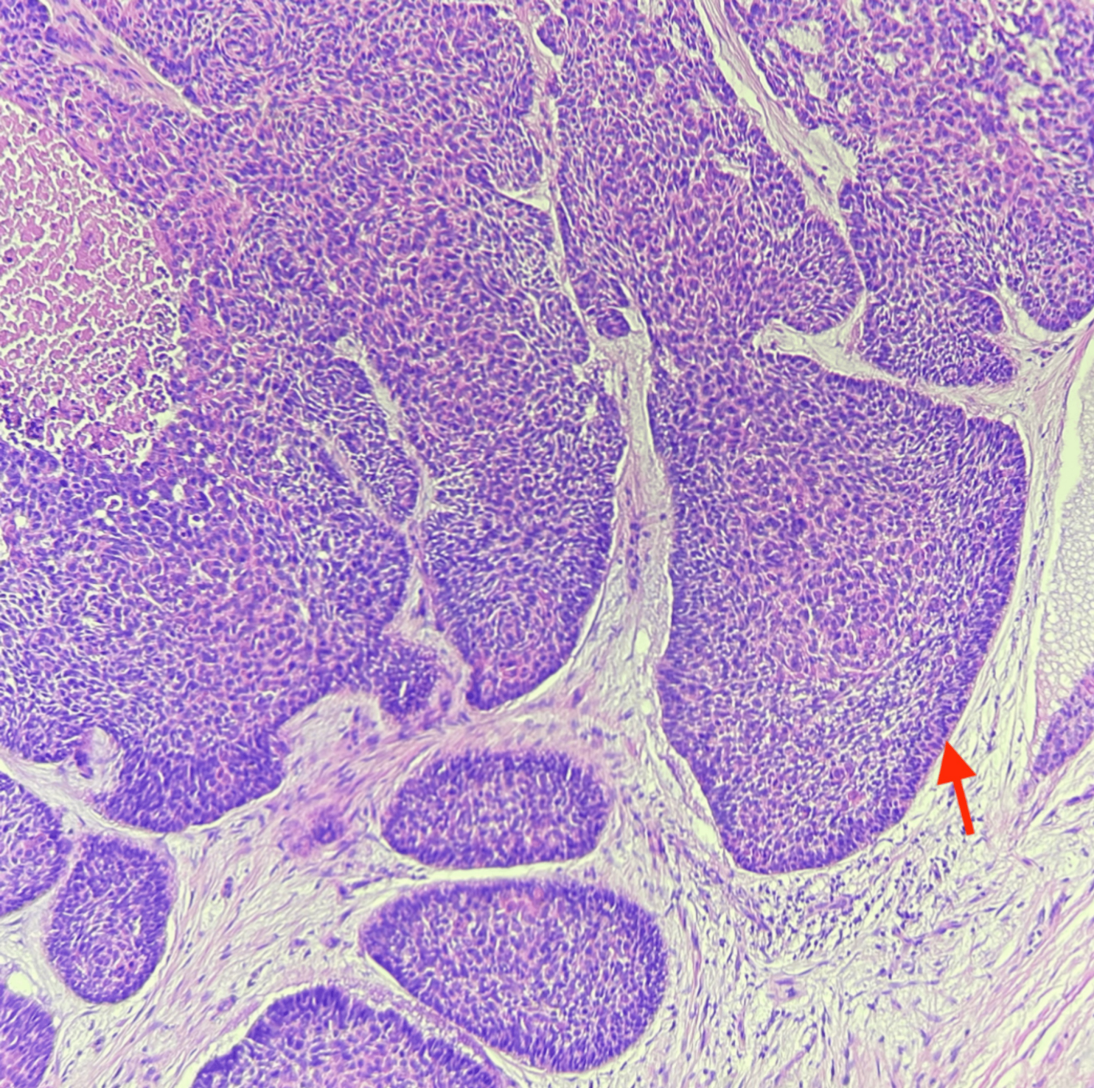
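This is a tumour made of nests of basophilic cells, large and small, set in a pale pink fibrous stroma. The cells are crowded, with dark, hyperchromatic nuclei and scant cytoplasm, so the nests stain deep purple. At the border of each nest, the outermost nuclei line up side by side in a palisade against the stroma.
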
